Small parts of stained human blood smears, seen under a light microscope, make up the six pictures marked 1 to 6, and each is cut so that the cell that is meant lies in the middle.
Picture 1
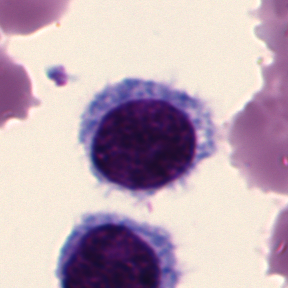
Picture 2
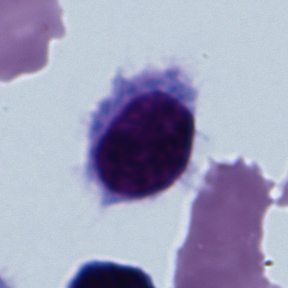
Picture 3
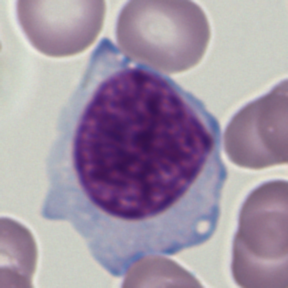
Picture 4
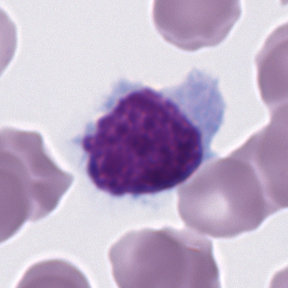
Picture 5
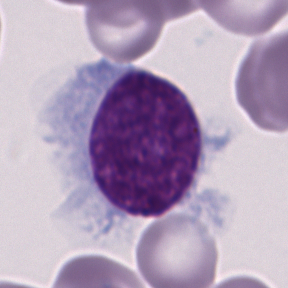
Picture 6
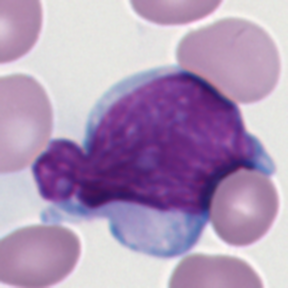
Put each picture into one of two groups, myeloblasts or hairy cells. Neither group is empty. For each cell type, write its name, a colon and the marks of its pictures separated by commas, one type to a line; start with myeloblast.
myeloblast: 3, 6
hairy cell: 1, 2, 4, 5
